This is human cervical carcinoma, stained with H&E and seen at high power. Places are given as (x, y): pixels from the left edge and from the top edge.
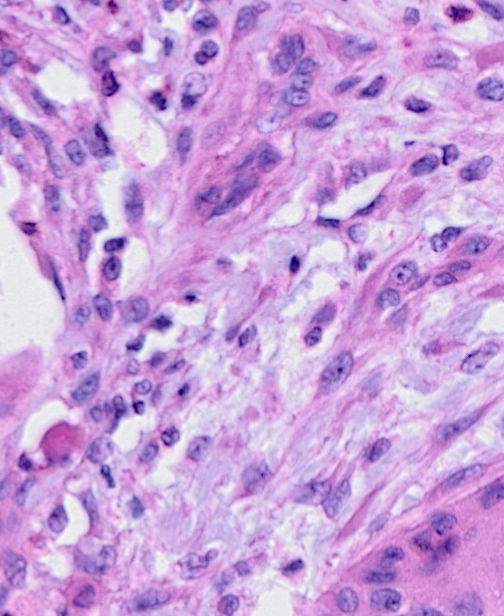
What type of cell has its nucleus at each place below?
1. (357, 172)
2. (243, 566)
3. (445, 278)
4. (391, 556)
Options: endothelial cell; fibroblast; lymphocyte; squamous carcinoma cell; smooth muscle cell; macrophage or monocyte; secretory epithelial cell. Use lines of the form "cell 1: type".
cell 1: endothelial cell
cell 2: fibroblast
cell 3: endothelial cell
cell 4: squamous carcinoma cell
